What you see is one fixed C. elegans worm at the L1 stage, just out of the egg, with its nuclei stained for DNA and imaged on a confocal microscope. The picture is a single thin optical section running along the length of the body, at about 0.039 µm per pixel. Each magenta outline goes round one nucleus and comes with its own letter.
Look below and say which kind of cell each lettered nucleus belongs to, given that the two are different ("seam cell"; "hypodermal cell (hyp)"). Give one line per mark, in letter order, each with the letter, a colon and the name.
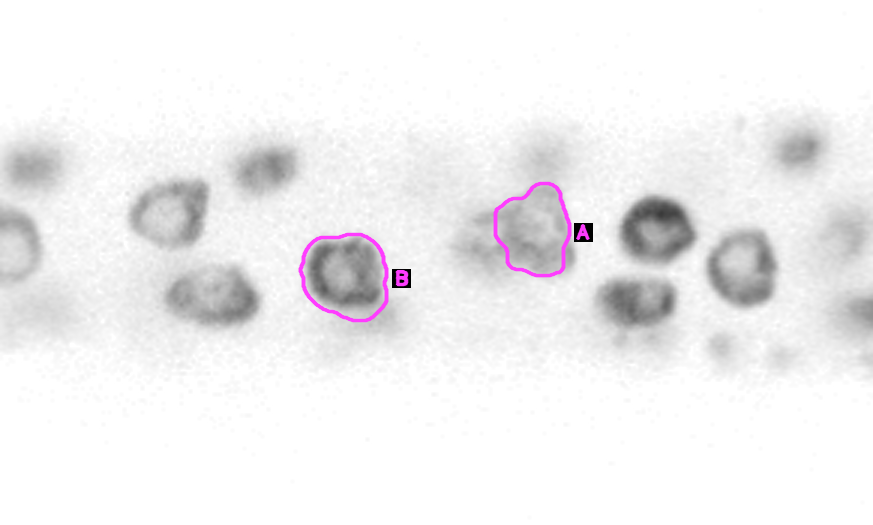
A: hypodermal cell (hyp)
B: seam cell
